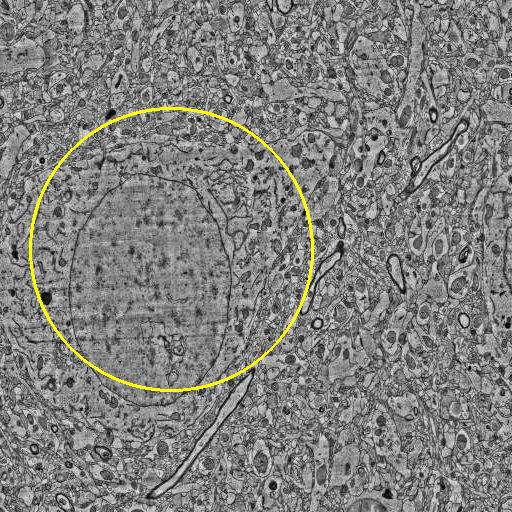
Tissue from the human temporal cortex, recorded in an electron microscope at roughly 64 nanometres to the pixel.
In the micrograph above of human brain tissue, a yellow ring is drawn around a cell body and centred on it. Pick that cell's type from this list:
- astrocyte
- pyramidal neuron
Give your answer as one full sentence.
Going by the list, a pyramidal neuron is the cell on which the yellow ring is centred.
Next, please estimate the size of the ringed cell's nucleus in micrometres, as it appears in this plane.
Approximately 15 by 10 micrometers in this plane.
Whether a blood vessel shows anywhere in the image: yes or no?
No, there is none.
